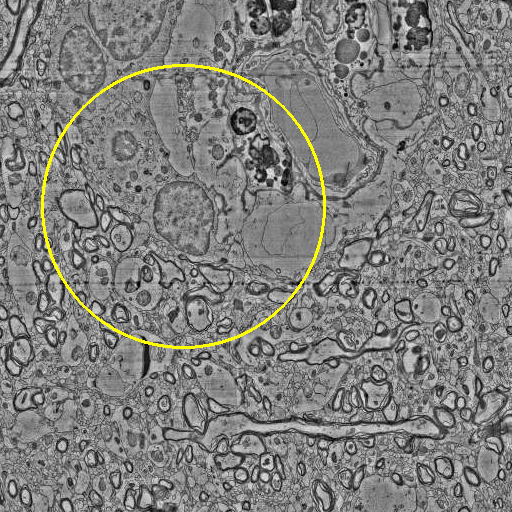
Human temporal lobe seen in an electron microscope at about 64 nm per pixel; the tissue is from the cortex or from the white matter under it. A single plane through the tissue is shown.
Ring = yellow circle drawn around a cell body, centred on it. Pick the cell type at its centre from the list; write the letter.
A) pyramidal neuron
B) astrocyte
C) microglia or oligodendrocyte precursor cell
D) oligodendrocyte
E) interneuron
D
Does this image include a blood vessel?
Yes.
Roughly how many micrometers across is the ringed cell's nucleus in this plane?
In this plane, the nucleus of the cell at the centre of the ring measures about 5 by 4 micrometres.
